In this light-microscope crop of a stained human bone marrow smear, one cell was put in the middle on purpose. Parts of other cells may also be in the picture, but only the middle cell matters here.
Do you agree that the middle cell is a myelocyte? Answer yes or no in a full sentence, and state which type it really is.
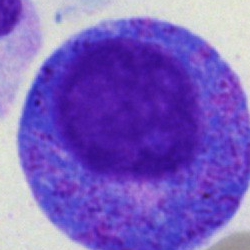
No, the cell placed in the centre is a promyelocyte and is not a myelocyte.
